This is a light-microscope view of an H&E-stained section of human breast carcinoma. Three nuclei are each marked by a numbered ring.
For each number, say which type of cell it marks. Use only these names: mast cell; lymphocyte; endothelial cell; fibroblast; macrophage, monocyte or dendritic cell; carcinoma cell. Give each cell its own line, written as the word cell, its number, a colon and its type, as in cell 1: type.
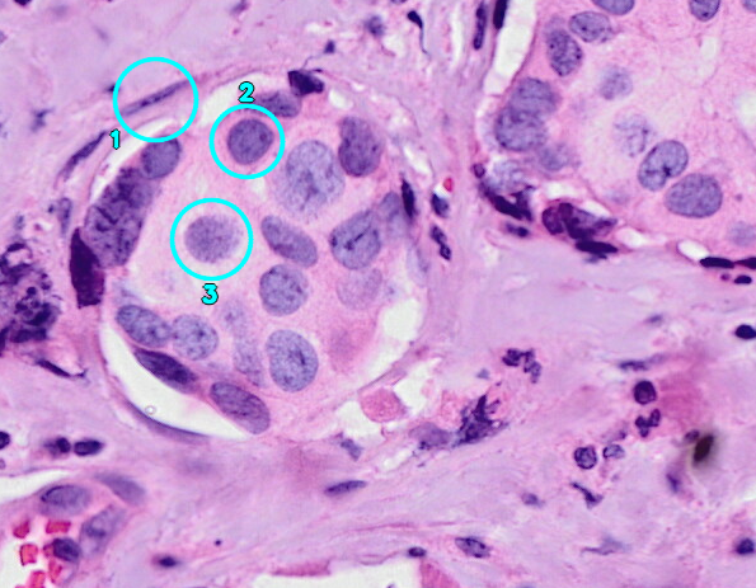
cell 1: fibroblast
cell 2: carcinoma cell
cell 3: carcinoma cell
